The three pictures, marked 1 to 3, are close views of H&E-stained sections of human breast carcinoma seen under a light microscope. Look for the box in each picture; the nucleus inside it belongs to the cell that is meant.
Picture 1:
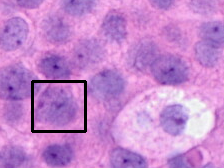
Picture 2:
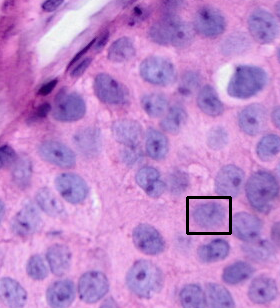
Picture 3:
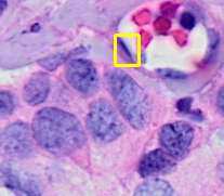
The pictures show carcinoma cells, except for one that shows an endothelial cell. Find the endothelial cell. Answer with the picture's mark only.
3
